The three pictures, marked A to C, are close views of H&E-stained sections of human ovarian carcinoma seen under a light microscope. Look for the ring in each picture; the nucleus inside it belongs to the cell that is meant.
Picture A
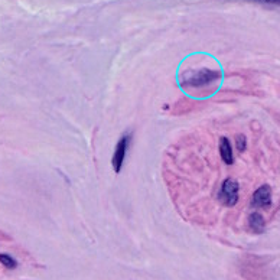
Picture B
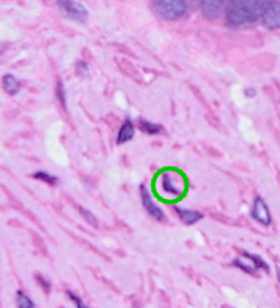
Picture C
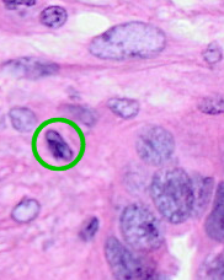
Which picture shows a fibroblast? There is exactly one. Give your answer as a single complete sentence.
The picture with the fibroblast is B.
